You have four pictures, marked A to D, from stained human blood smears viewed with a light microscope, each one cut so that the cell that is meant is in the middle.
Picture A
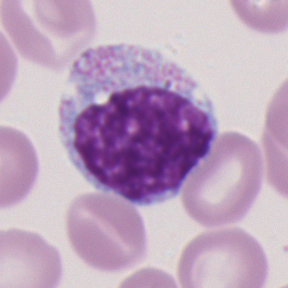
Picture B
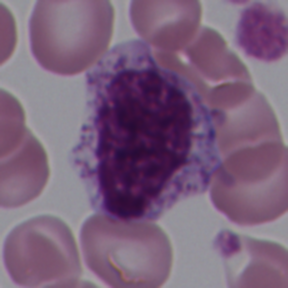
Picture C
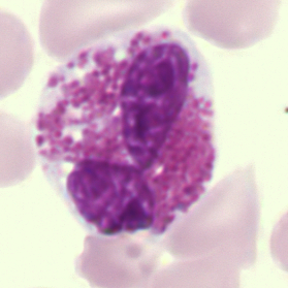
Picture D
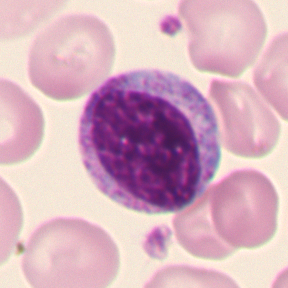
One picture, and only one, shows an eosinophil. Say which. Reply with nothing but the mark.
C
